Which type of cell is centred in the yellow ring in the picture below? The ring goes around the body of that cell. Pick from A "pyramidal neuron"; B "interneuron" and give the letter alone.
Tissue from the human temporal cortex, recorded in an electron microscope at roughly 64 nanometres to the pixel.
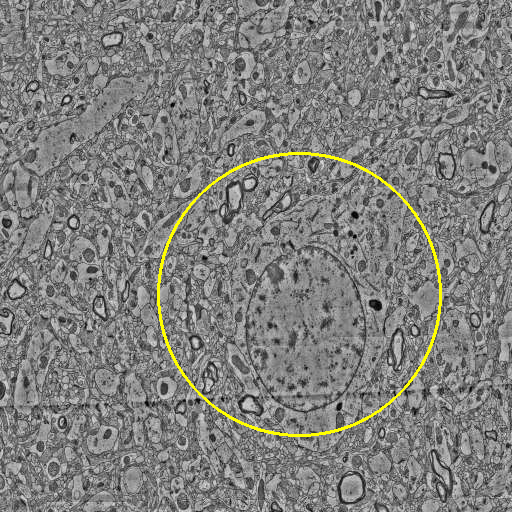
A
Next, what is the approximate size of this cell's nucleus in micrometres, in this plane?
The nucleus measures about 11 by 8 micrometres in this plane.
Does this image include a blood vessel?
No, a blood vessel is absent from this picture.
